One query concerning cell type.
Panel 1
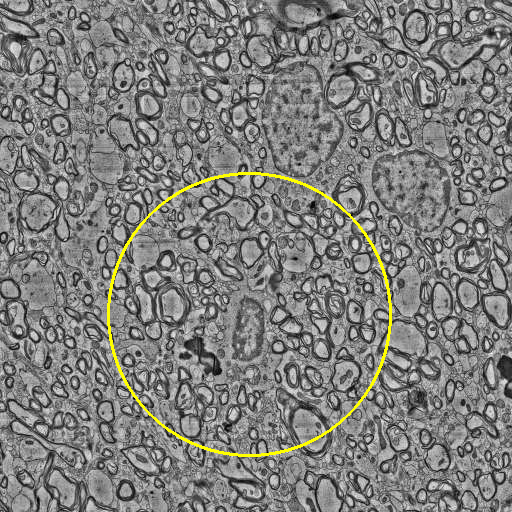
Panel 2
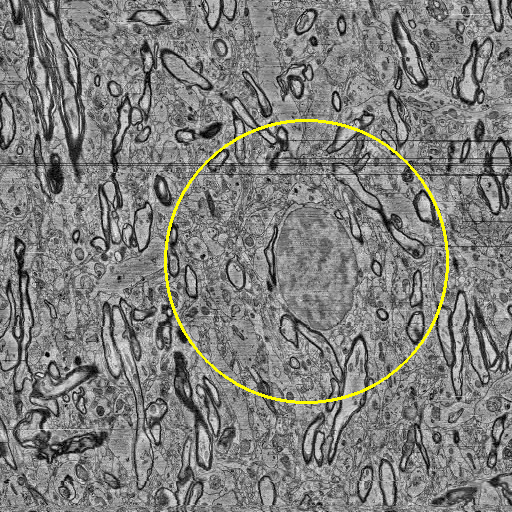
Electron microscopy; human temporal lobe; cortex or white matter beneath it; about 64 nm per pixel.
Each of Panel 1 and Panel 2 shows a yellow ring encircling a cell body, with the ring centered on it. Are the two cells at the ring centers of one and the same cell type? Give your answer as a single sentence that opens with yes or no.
Yes, the cell centered in Panel 1 and the one in Panel 2 share a type.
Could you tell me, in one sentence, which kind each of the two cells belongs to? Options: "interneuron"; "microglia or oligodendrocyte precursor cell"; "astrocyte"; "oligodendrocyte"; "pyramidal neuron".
Both cells are the same kind, each one being an oligodendrocyte.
